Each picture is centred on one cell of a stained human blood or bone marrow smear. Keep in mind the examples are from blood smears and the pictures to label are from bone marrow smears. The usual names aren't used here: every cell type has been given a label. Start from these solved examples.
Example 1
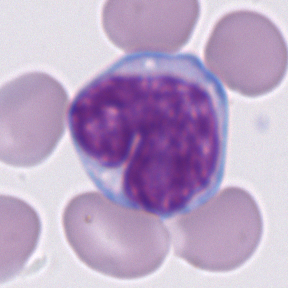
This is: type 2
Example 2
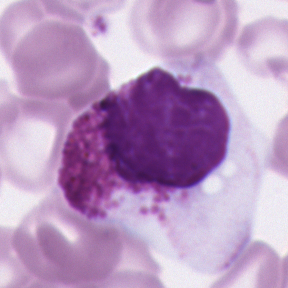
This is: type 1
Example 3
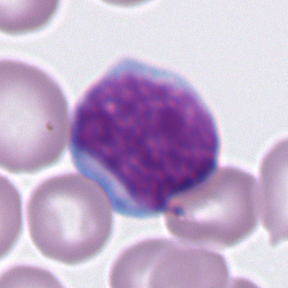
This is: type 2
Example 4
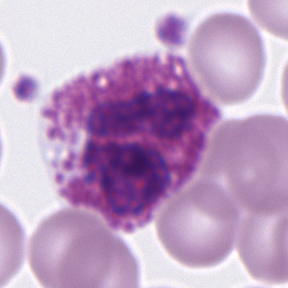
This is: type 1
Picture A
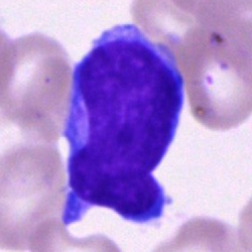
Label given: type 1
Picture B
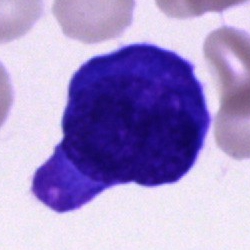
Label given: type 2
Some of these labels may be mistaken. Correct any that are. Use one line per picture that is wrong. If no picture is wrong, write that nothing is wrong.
A: type 2, not type 1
